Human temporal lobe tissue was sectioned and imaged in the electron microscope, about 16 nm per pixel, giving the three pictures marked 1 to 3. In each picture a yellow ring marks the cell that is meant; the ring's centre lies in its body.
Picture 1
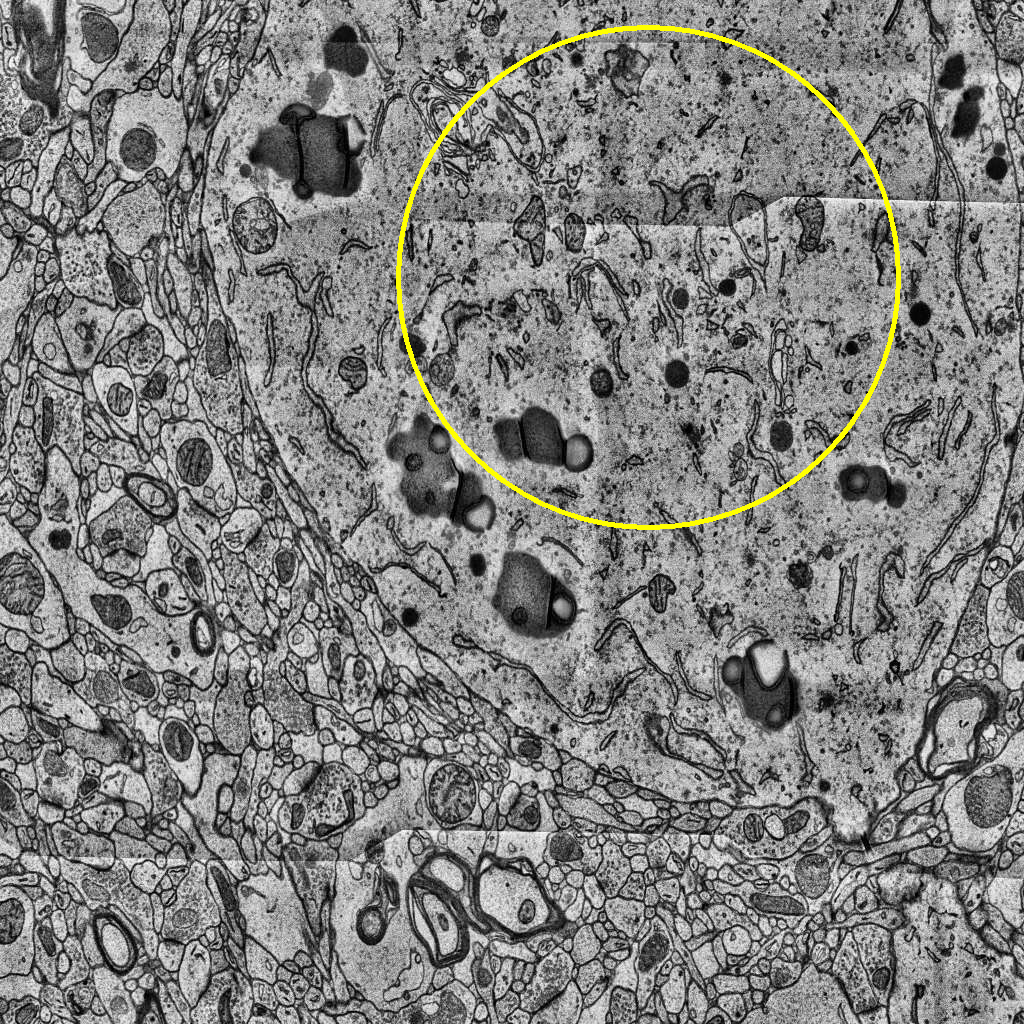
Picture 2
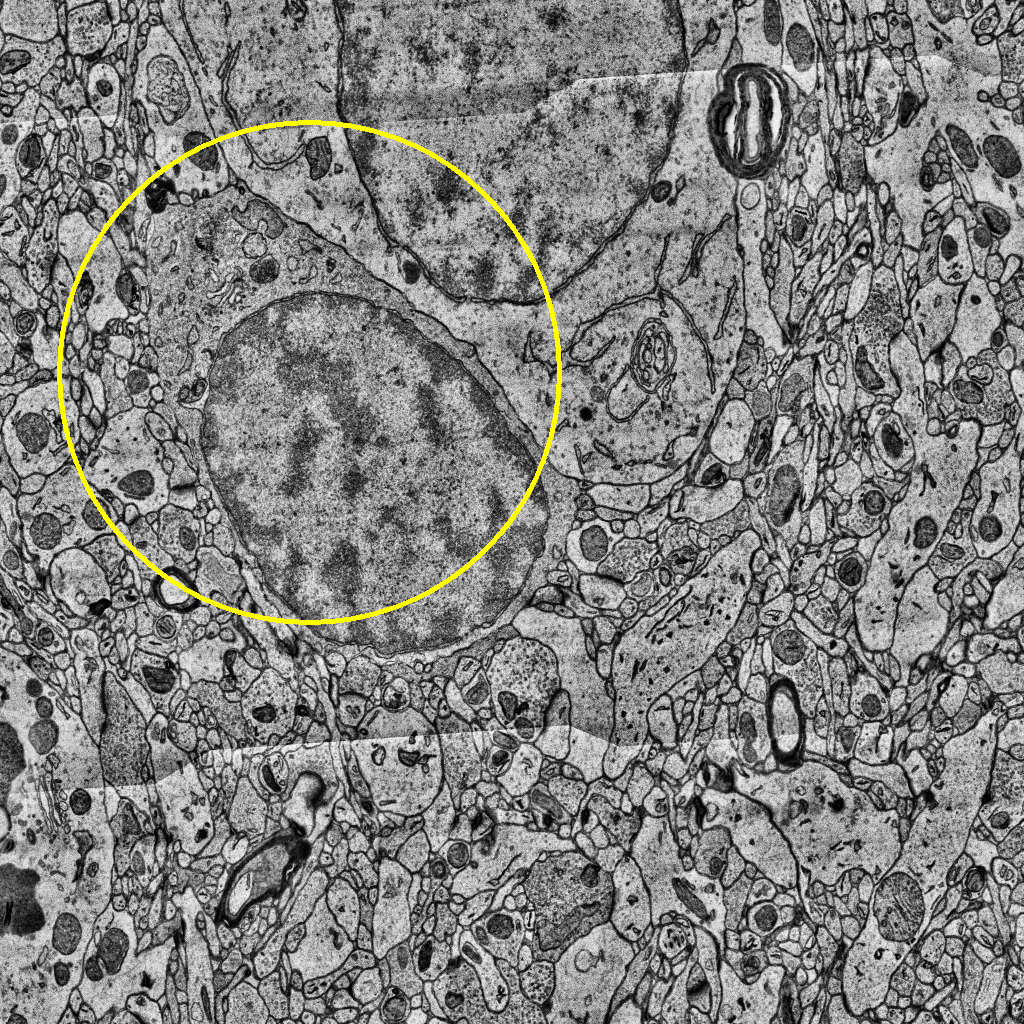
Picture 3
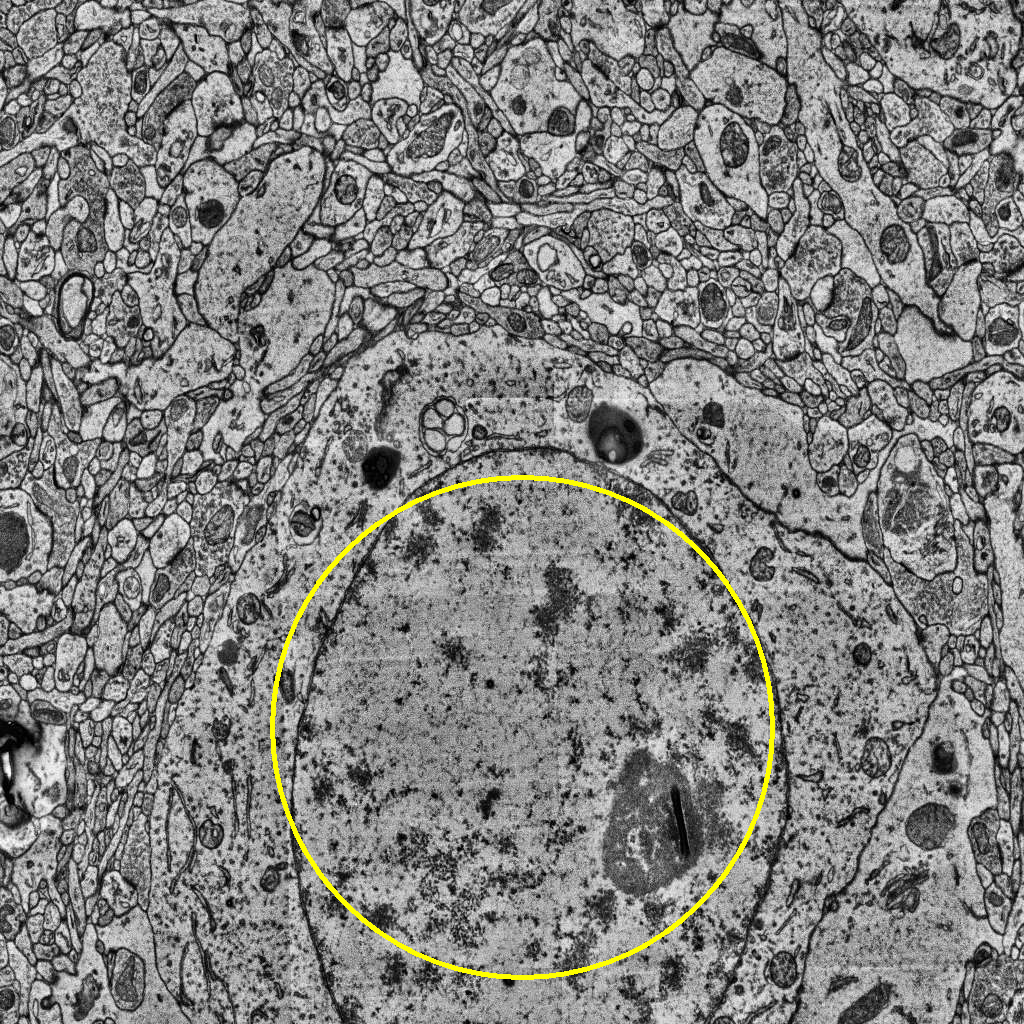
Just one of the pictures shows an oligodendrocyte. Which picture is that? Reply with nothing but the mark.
2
